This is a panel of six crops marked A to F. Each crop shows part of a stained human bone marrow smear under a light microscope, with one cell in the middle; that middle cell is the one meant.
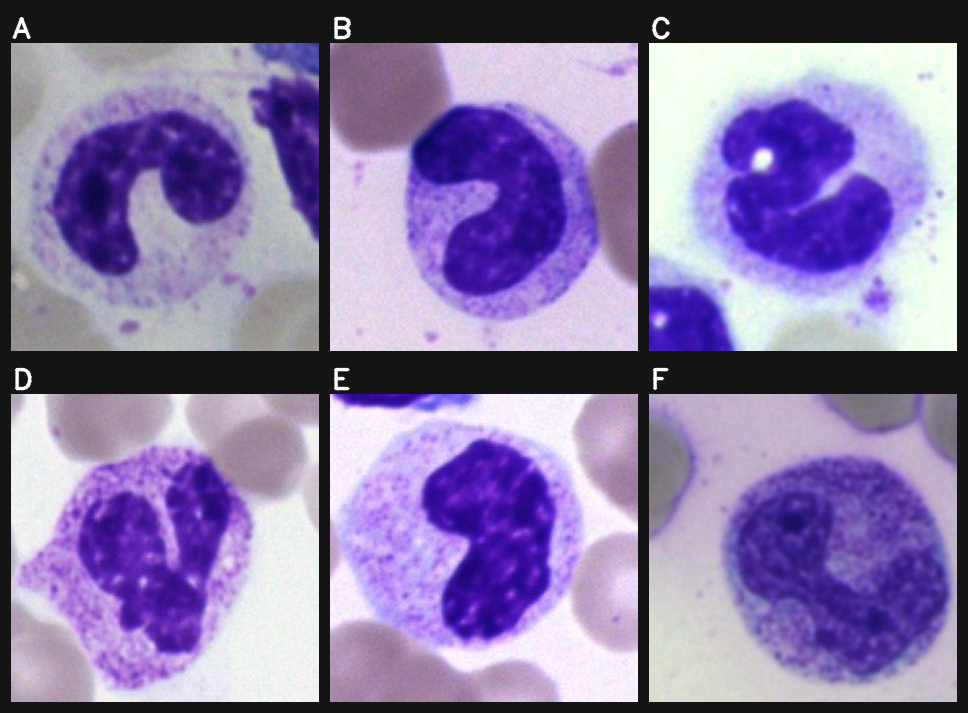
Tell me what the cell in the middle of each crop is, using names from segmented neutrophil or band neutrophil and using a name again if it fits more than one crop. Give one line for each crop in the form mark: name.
A: band neutrophil
B: band neutrophil
C: segmented neutrophil
D: segmented neutrophil
E: band neutrophil
F: band neutrophil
